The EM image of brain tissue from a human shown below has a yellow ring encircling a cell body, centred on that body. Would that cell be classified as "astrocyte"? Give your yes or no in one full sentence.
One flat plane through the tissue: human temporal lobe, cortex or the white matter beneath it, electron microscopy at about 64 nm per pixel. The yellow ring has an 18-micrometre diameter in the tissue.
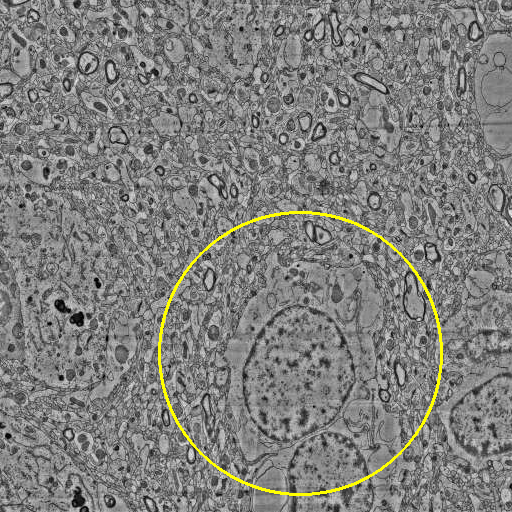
Yes, the cell at the centre of the ring in the picture falls in that class.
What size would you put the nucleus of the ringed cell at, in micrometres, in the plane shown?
About 9 by 7 micrometres in this plane.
